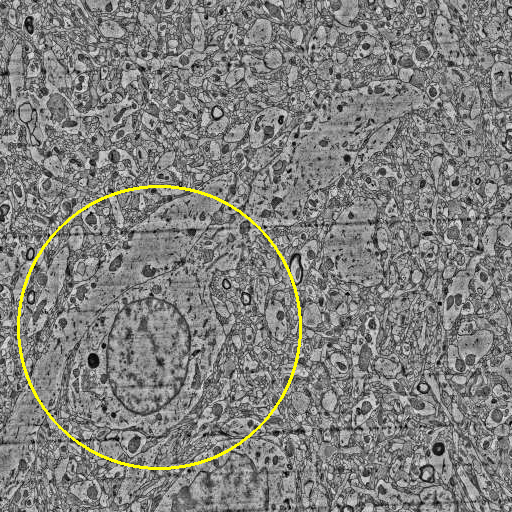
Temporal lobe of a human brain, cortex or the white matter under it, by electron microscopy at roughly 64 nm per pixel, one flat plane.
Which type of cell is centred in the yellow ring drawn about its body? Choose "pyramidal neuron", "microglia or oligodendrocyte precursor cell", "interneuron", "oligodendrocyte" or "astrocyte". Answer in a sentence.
The yellow ring surrounds the cell body of a pyramidal neuron.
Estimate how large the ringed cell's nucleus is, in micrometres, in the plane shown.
About 7 by 6 micrometres in this plane.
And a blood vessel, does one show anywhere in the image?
No, a blood vessel is absent from this picture.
